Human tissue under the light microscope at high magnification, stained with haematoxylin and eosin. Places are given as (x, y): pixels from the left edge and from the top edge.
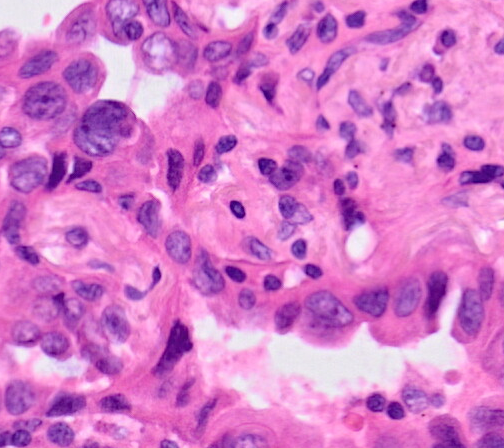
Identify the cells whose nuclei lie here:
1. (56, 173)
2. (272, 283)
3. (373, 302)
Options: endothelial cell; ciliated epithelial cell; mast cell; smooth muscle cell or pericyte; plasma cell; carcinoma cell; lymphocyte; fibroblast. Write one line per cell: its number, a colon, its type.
1: carcinoma cell
2: lymphocyte
3: carcinoma cell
